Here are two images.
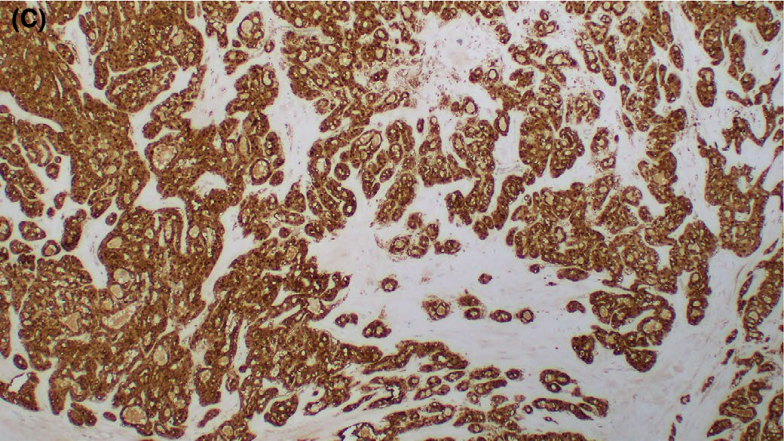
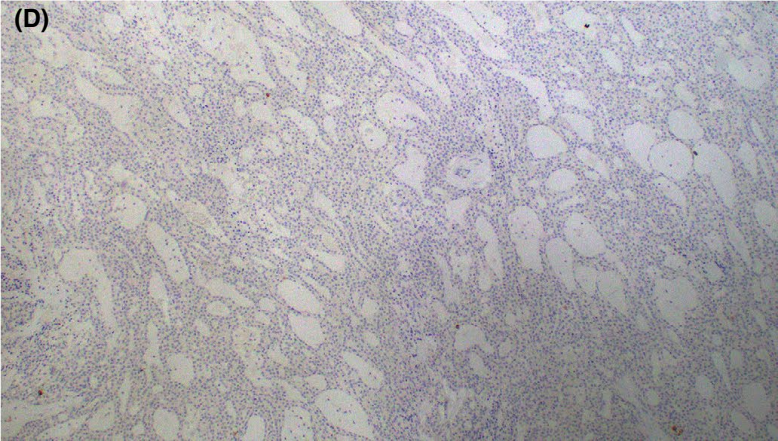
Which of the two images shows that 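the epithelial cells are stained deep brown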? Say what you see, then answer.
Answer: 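The first image. Second image: the cell nests are pale blue with no brown colour. First image: the cell nests are uniformly dark brown.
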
